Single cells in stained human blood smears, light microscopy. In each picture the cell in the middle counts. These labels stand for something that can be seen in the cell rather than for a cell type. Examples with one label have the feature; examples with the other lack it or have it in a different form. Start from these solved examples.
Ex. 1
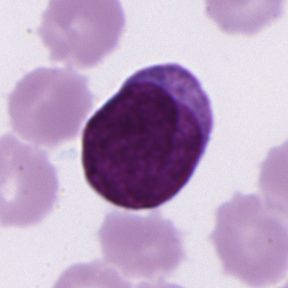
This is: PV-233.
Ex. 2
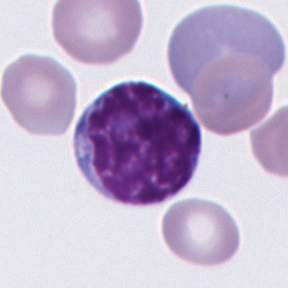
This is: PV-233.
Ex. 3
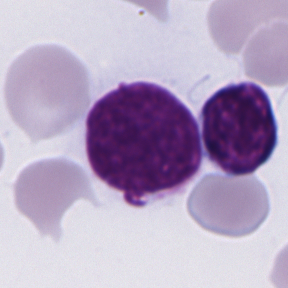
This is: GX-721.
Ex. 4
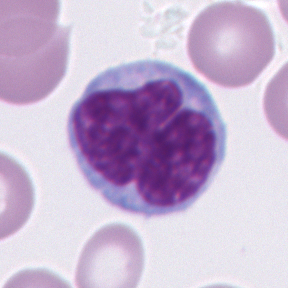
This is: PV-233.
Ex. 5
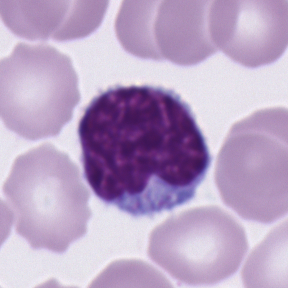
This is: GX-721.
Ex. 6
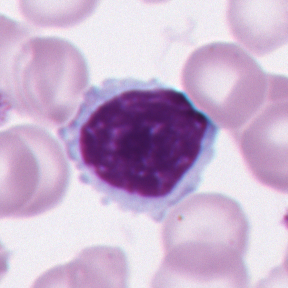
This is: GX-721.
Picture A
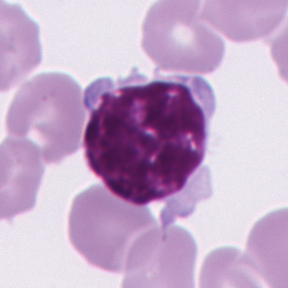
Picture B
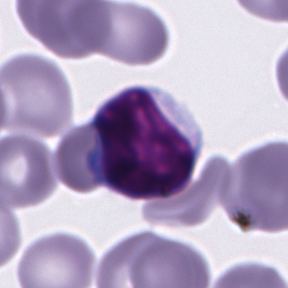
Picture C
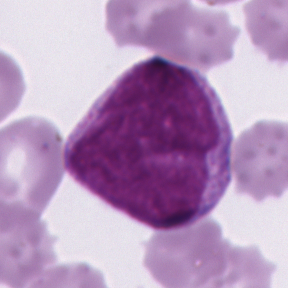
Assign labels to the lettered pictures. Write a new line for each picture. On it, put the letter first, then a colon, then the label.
A: GX-721.
B: PV-233.
C: PV-233.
